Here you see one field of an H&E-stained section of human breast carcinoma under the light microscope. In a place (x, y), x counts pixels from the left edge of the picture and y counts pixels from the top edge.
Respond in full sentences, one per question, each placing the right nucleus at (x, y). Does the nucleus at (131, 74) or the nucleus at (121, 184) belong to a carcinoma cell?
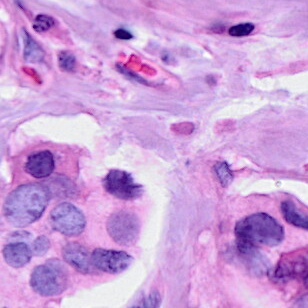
The nucleus at (121, 184) belongs to a carcinoma cell, which distinguishes it from the other nucleus.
